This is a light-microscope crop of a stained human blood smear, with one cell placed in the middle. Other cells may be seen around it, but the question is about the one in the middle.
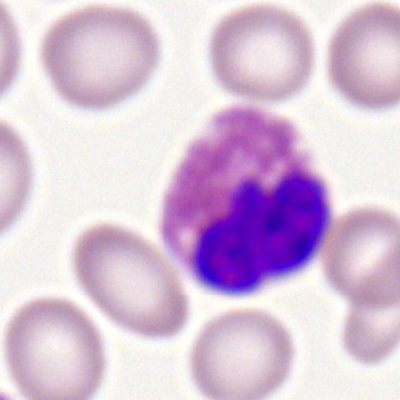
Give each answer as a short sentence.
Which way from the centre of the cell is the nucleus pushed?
The nucleus lies toward the lower right of the cell.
